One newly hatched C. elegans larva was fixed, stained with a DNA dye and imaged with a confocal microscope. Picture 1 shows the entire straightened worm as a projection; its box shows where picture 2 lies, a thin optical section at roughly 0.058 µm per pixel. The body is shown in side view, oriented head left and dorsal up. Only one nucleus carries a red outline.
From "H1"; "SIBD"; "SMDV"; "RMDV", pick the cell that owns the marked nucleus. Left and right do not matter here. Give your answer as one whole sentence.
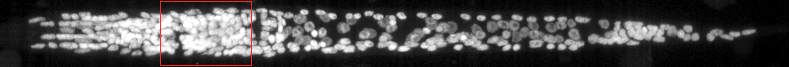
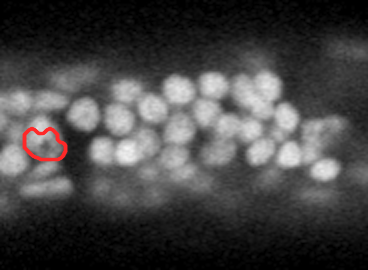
The cell whose nucleus is marked is H1, a seam cell.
